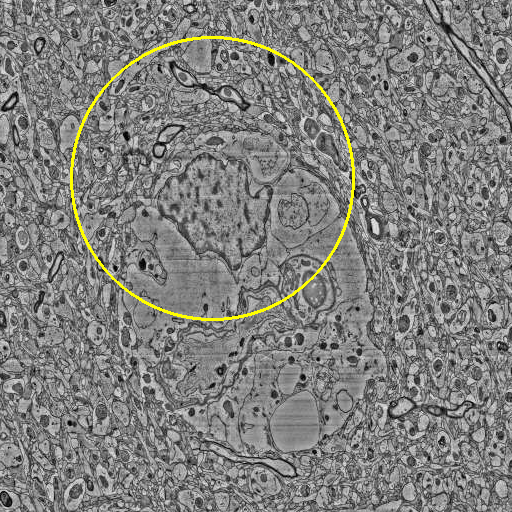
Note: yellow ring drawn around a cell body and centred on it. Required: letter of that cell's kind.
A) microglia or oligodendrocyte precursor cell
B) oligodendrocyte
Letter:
A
